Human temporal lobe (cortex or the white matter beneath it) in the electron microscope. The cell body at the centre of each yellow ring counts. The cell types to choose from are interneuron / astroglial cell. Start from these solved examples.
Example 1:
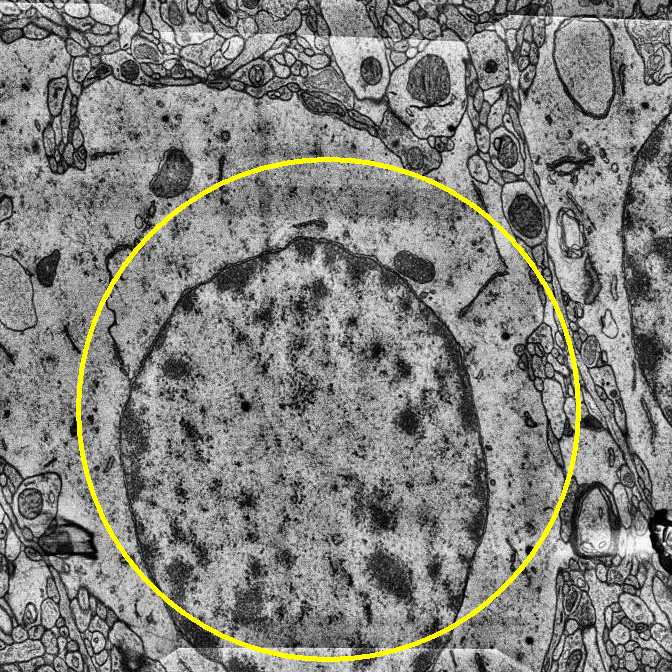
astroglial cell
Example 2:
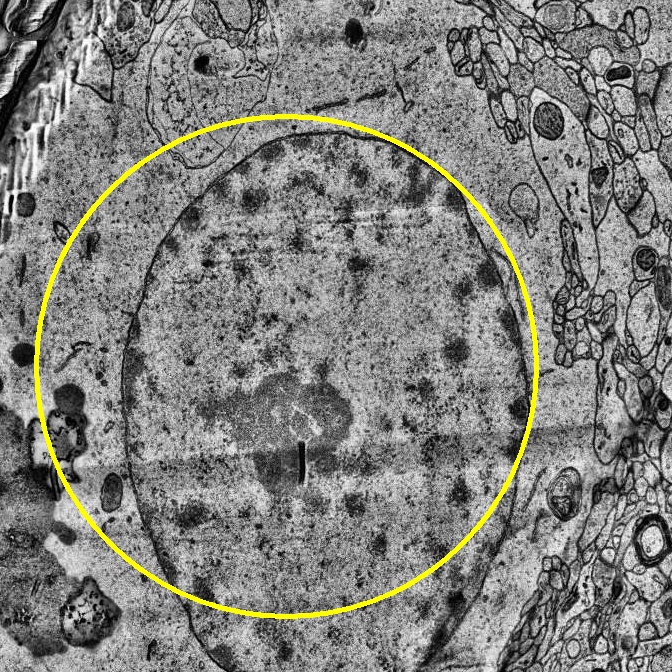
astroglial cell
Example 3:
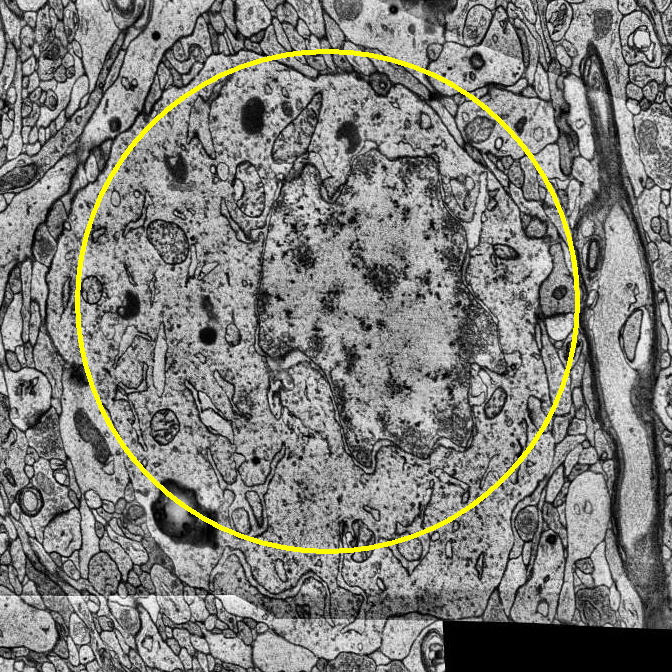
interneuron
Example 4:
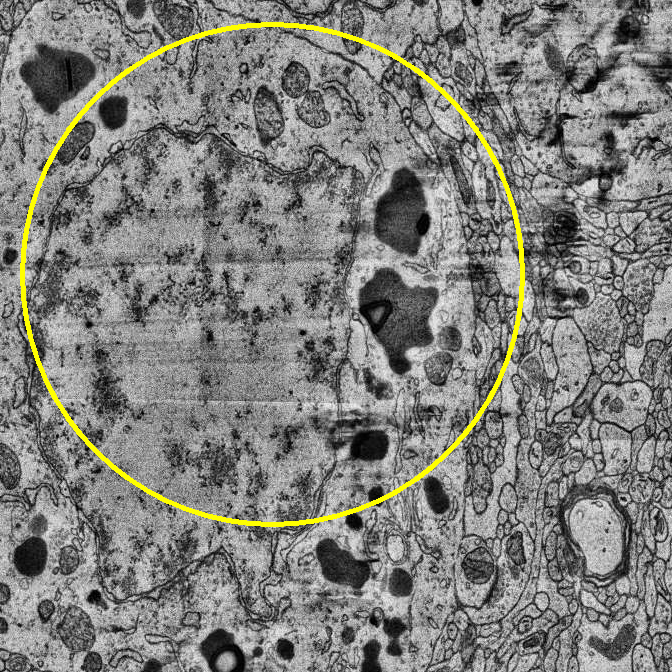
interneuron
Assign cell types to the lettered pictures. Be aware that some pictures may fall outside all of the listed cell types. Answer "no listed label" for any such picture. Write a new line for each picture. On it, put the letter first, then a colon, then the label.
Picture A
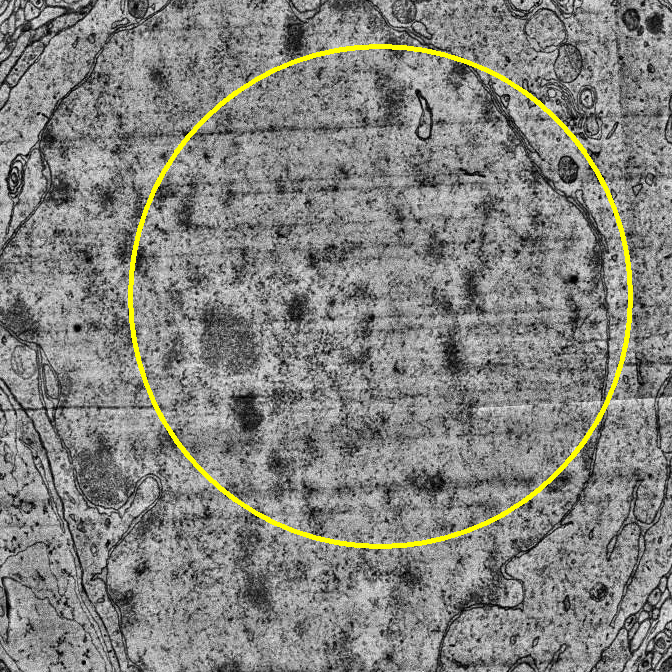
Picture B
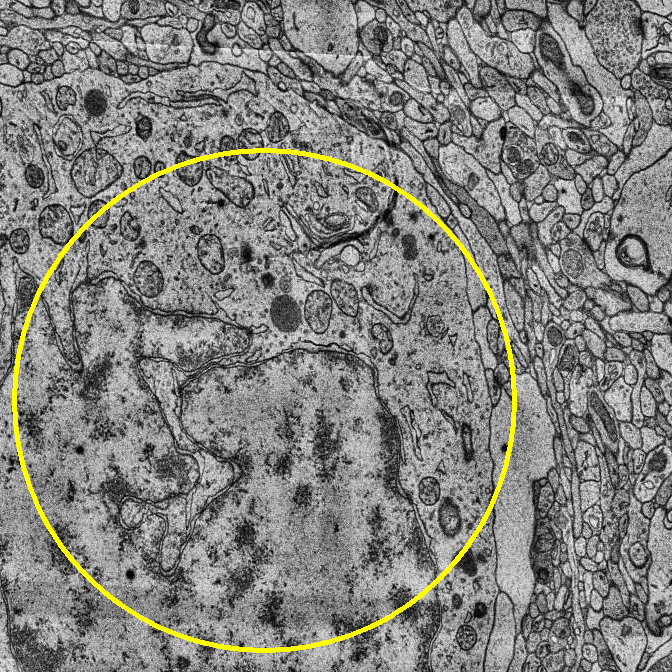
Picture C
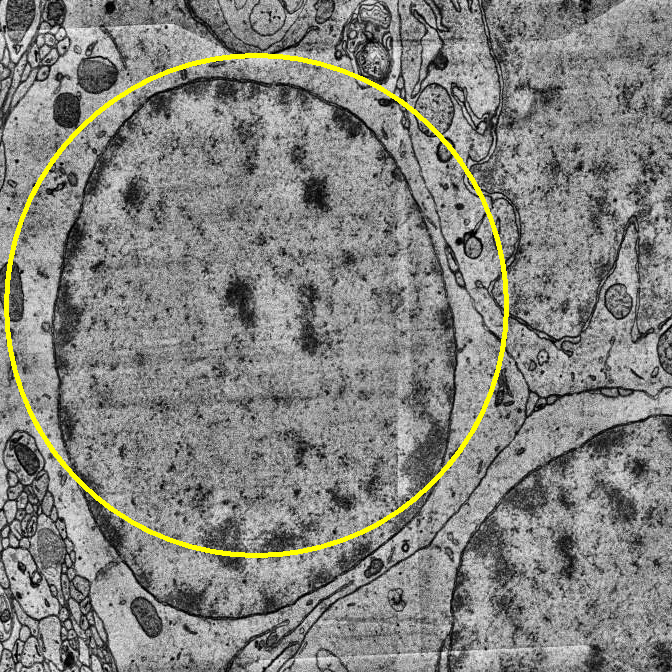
A: interneuron
B: interneuron
C: astroglial cell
